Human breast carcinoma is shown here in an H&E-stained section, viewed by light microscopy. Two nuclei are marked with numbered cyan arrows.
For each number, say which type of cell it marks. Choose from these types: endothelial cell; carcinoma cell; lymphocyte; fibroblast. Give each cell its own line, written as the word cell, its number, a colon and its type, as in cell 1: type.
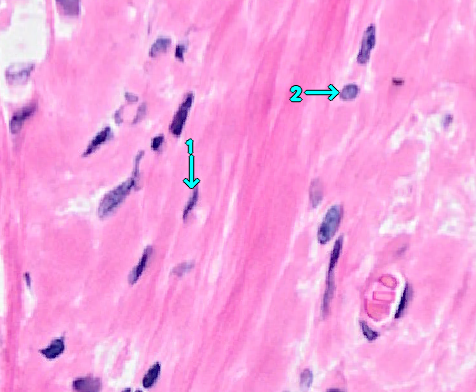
cell 1: fibroblast
cell 2: lymphocyte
